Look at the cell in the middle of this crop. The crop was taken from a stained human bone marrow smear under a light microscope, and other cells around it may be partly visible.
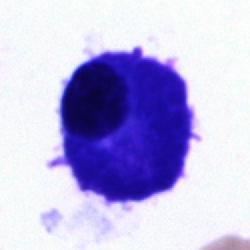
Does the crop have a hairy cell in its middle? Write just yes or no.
no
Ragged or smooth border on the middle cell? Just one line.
The cytoplasmic margin is uneven, whether through ragged segments or through projections.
